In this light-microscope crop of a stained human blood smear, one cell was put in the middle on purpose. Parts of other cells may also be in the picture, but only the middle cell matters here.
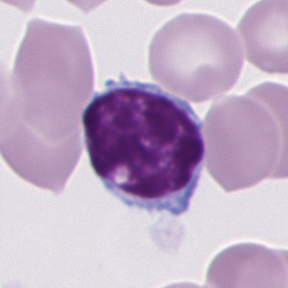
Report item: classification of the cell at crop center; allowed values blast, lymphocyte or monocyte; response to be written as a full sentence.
By classification, the middle cell of this crop is a lymphocyte.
